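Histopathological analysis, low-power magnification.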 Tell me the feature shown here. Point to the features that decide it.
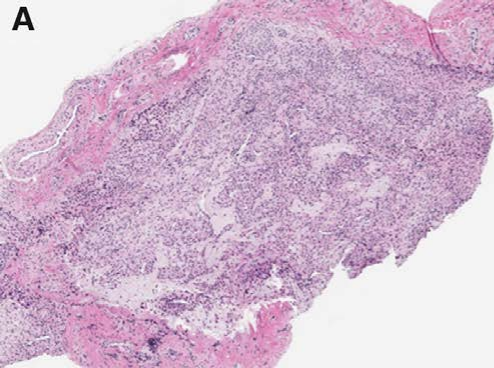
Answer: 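Pale, loose, lightly stained areas lie between the cellular zones. Purple cells are scattered through the pale background. The answer: myxoid stroma.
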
